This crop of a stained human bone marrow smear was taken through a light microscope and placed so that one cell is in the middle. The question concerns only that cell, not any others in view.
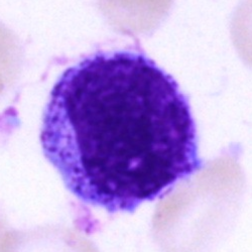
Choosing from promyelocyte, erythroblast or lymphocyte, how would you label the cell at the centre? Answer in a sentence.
The cell at the middle of the crop is recognized as a promyelocyte.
